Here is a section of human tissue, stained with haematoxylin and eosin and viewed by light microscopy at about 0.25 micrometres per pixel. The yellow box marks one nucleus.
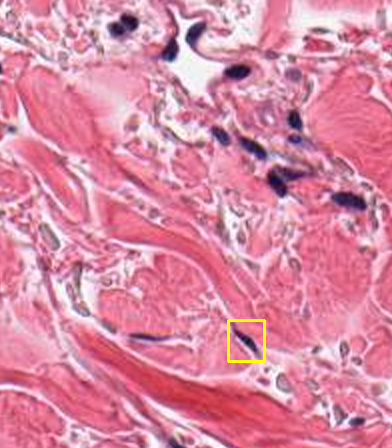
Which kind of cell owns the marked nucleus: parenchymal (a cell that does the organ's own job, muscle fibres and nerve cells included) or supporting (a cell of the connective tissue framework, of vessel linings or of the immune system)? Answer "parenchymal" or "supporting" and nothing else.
supporting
